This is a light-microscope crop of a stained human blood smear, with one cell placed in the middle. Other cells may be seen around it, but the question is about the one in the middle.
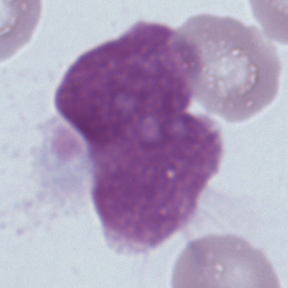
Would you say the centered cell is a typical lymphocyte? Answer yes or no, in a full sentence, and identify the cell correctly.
No, not a typical lymphocyte: the cell in the middle of this crop is a smudge cell.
